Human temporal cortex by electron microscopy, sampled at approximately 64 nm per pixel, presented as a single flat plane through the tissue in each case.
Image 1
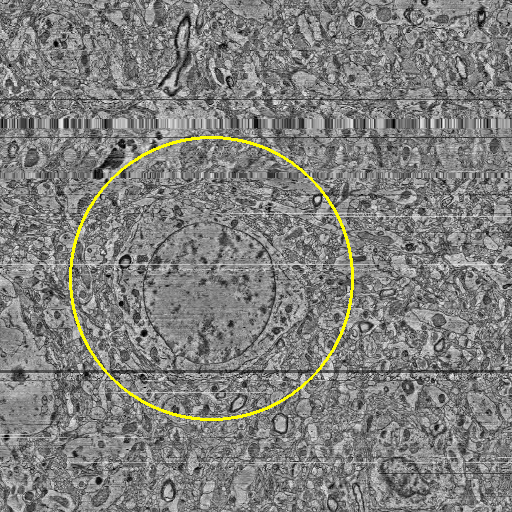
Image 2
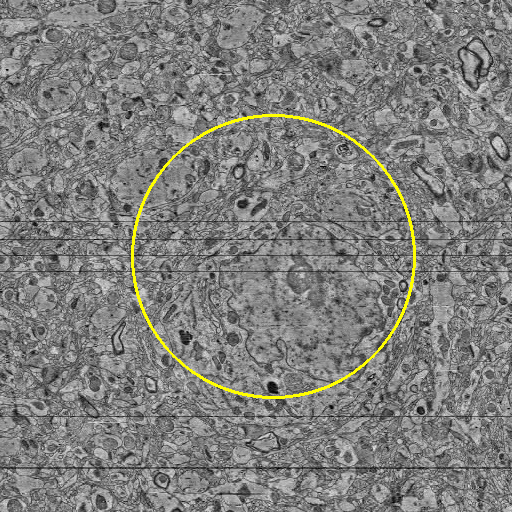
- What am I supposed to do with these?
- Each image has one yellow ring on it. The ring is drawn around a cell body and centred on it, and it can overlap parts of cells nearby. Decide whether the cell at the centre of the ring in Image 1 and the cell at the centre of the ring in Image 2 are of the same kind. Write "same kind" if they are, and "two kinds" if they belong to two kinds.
two kinds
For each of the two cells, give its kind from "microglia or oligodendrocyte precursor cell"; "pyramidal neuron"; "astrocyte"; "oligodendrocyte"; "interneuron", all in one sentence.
The first picture has a pyramidal neuron in its ring, the second has an interneuron.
